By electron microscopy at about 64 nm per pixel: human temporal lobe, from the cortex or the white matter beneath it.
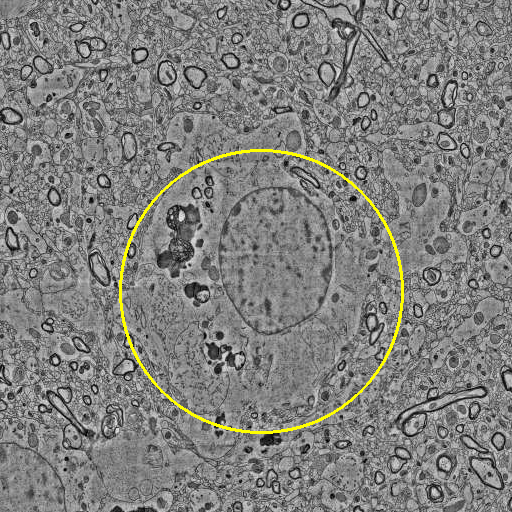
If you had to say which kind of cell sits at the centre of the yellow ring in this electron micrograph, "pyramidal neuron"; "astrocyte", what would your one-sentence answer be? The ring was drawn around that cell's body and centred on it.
The cell sitting at the centre of the ring is an astrocyte.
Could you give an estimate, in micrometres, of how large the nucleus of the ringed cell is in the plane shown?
The nucleus is approximately 9 micrometers long by 7 micrometers wide in this plane.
